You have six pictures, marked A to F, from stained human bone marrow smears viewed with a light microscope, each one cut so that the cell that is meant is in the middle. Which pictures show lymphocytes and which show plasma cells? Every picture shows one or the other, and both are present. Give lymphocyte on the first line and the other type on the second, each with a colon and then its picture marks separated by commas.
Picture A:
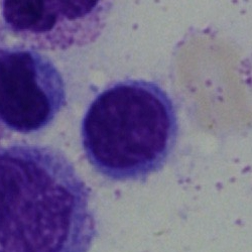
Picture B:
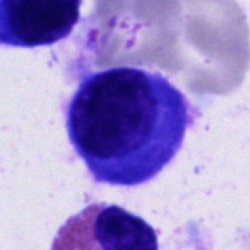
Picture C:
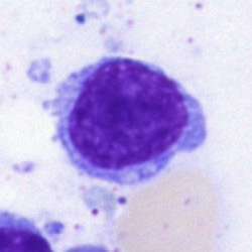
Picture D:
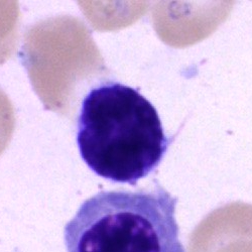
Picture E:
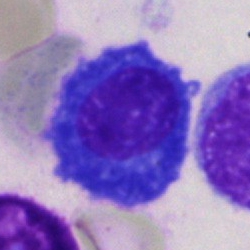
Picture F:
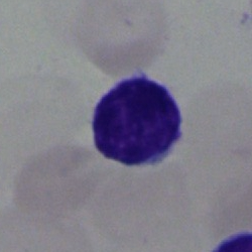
lymphocyte: A, C, D, F
plasma cell: B, E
